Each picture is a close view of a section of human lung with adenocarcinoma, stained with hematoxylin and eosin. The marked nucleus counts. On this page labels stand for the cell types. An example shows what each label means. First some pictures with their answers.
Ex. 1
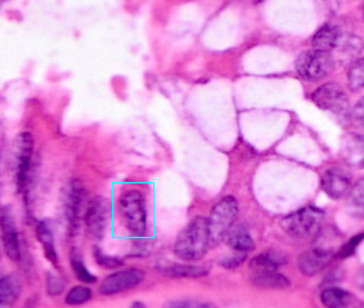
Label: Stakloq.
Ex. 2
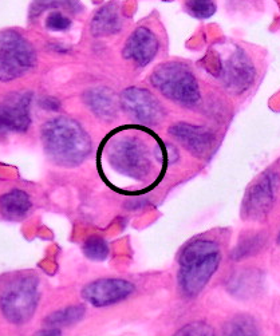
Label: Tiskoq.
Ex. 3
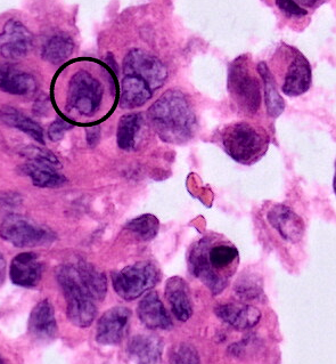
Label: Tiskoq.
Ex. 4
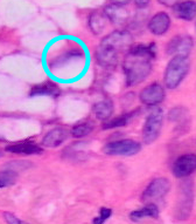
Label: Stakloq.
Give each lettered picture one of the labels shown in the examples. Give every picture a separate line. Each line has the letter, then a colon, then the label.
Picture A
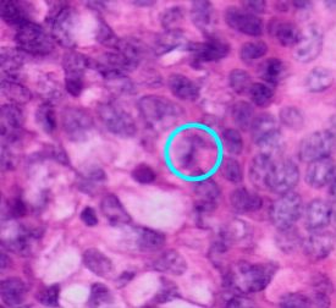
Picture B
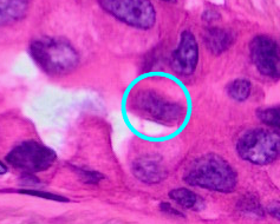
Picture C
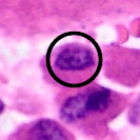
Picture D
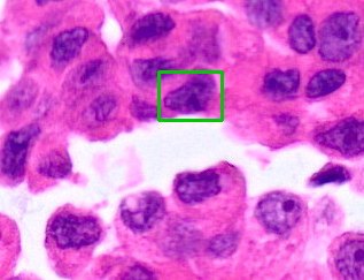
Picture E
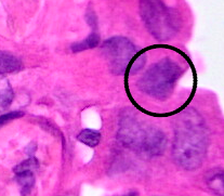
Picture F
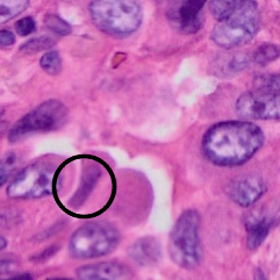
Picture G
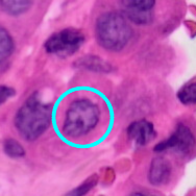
A: Stakloq.
B: Tiskoq.
C: Tiskoq.
D: Tiskoq.
E: Tiskoq.
F: Tiskoq.
G: Tiskoq.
